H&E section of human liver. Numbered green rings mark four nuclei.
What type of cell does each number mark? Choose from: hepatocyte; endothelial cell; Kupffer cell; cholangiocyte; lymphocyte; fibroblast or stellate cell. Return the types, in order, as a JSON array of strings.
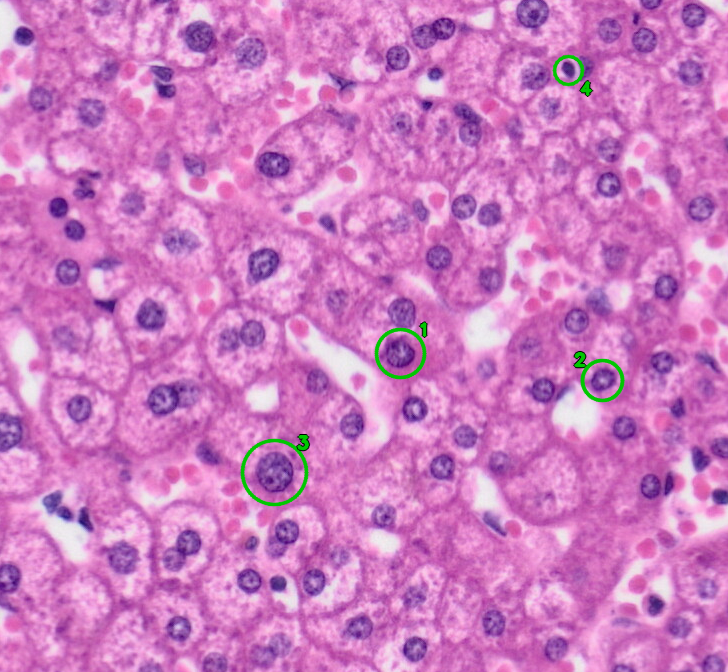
["hepatocyte", "hepatocyte", "hepatocyte", "lymphocyte"]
